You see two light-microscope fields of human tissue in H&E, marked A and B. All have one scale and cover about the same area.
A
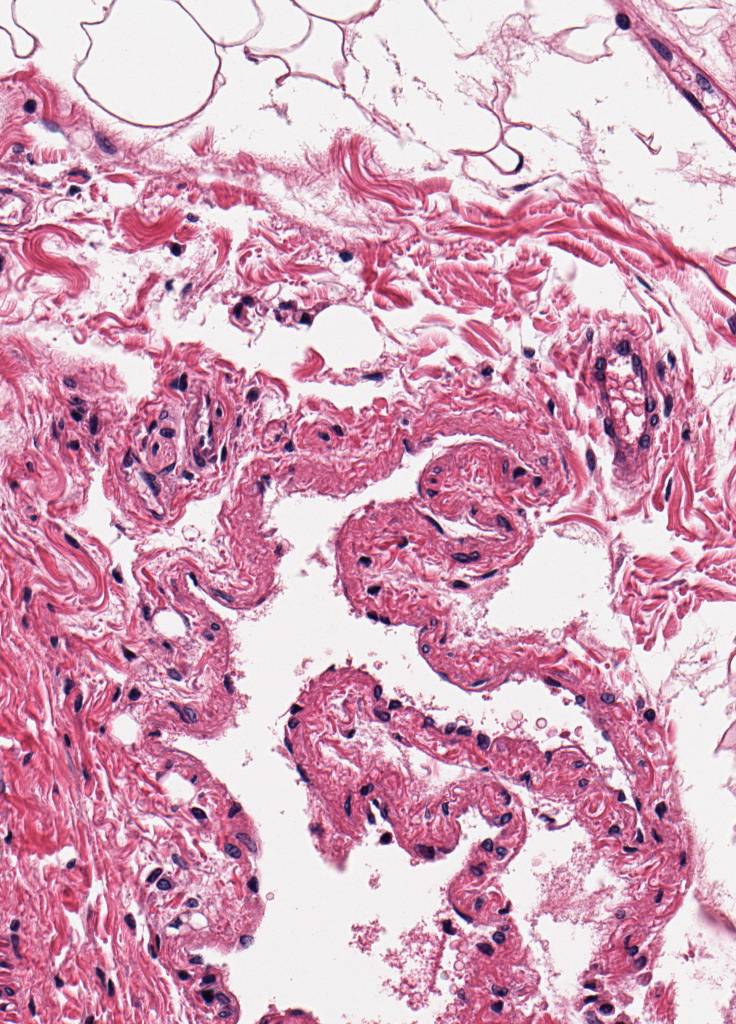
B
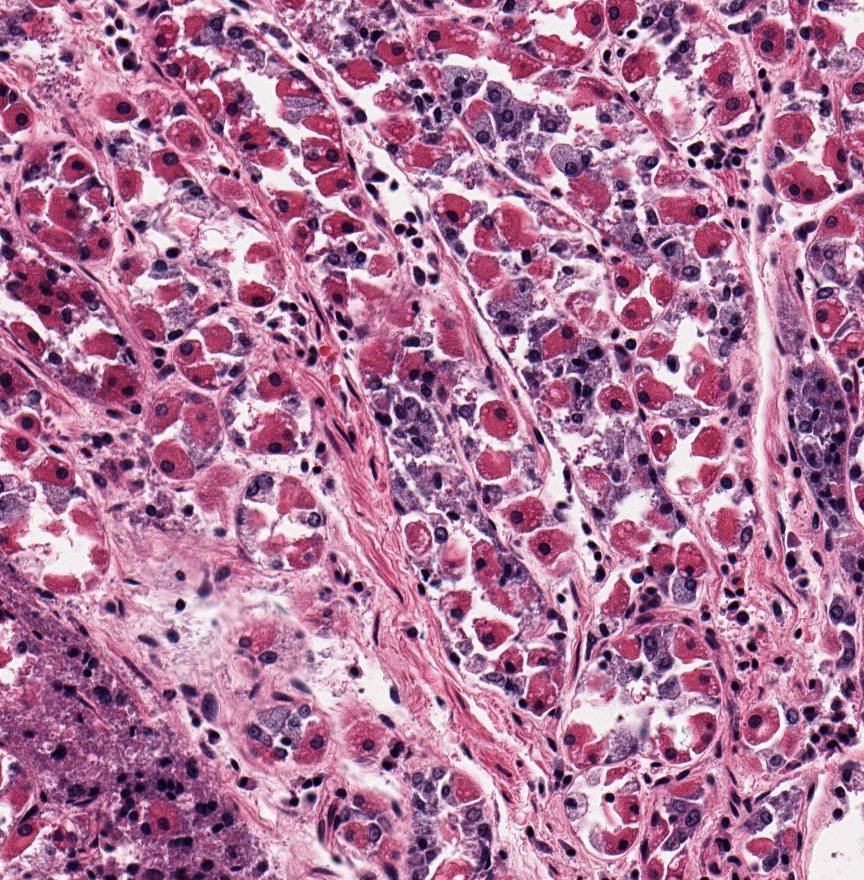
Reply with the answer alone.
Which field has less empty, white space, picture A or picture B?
B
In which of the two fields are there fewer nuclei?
A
